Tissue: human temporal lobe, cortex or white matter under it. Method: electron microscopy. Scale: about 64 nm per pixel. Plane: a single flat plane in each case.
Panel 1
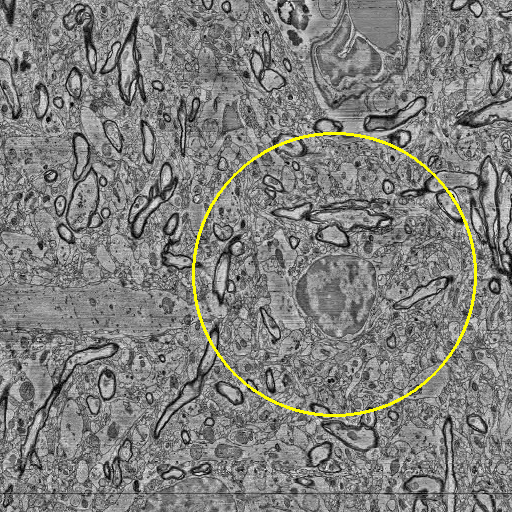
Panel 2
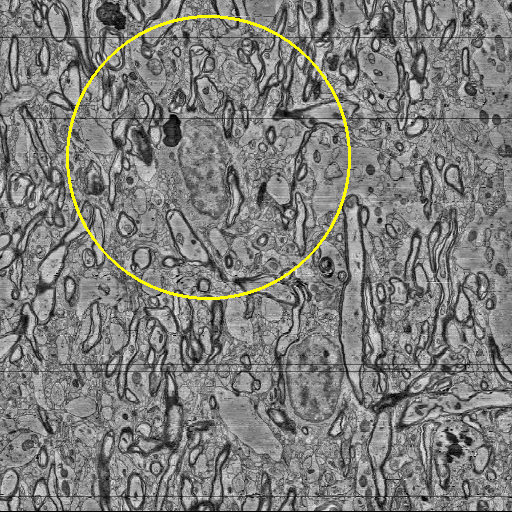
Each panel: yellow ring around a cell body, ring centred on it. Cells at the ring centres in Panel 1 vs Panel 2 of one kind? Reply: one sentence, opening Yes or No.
No, Panel 1 and Panel 2 have cells of two kinds at the ring centres.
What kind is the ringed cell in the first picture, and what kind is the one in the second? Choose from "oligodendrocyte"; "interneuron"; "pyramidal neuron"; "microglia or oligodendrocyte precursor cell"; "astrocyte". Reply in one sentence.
The first cell is a microglial cell or oligodendrocyte precursor cell; the second is an oligodendrocyte.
